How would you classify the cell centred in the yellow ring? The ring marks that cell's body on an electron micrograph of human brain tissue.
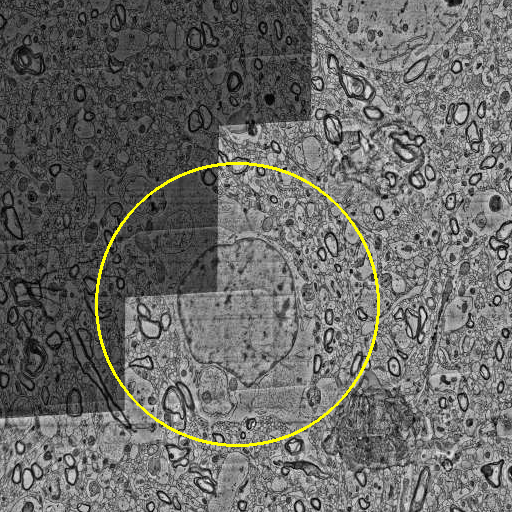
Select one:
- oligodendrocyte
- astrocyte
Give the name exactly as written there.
astrocyte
